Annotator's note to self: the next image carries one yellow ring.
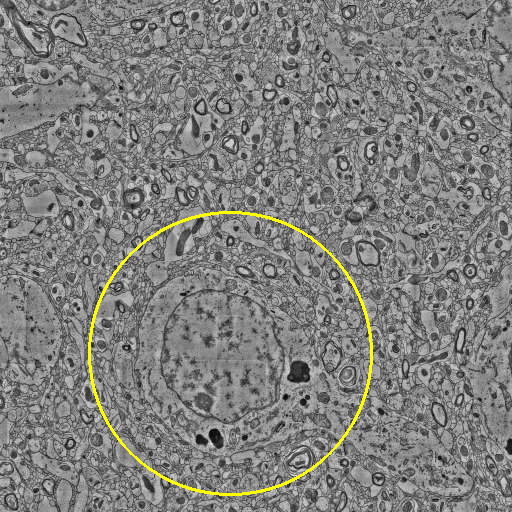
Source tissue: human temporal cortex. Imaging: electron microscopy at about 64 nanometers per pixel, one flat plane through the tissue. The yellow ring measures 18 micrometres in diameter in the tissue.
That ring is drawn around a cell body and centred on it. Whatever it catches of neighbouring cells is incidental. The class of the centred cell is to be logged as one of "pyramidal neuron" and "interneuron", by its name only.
pyramidal neuron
